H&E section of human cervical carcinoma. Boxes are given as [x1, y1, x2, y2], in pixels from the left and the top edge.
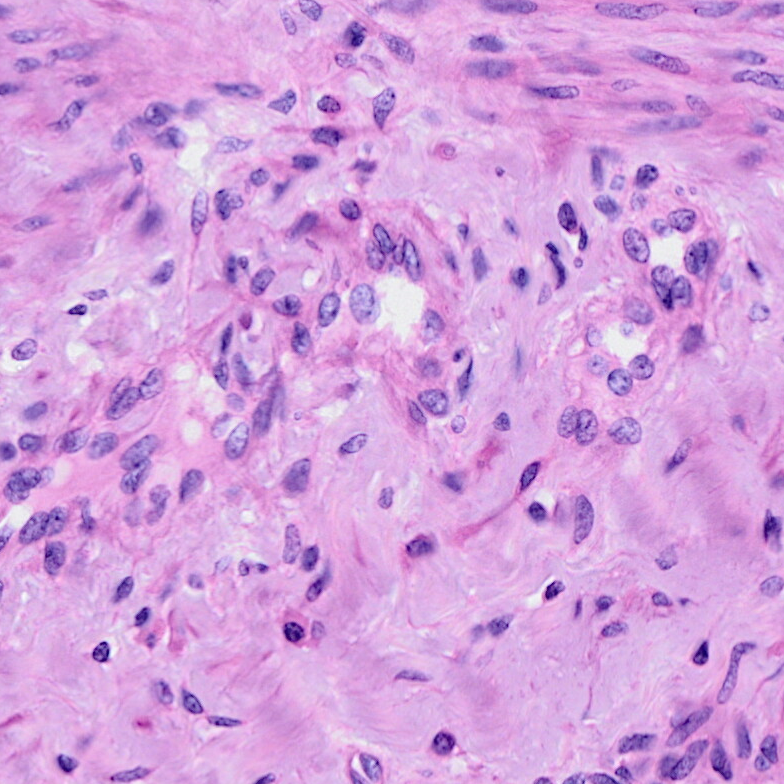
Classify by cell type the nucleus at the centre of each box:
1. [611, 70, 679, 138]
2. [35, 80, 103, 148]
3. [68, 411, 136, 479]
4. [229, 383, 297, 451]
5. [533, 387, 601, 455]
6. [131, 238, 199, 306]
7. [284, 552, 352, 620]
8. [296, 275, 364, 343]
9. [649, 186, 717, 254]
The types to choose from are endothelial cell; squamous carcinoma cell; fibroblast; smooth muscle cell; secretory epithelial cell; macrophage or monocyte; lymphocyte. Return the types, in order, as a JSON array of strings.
["smooth muscle cell", "smooth muscle cell", "endothelial cell", "endothelial cell", "endothelial cell", "fibroblast", "fibroblast", "endothelial cell", "endothelial cell"]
